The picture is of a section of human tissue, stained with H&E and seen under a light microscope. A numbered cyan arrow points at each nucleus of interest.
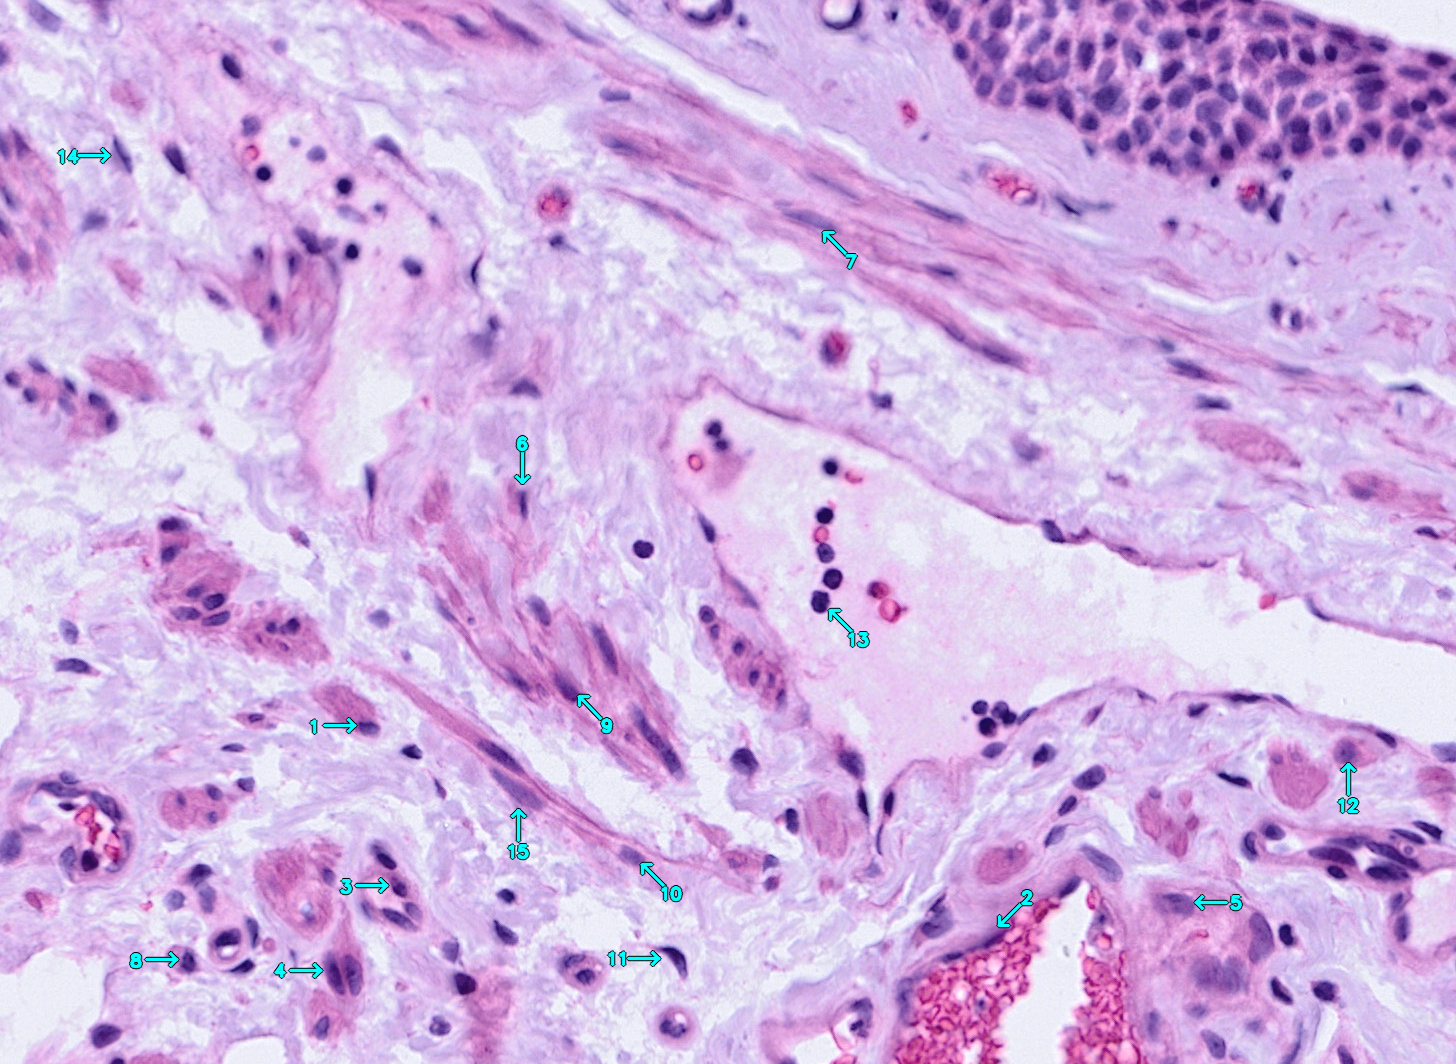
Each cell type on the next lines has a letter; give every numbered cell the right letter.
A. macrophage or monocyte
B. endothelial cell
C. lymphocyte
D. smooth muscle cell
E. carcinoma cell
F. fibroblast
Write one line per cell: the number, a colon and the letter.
1: D
2: B
3: B
4: D
5: B
6: D
7: D
8: A
9: D
10: D
11: F
12: D
13: C
14: F
15: D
